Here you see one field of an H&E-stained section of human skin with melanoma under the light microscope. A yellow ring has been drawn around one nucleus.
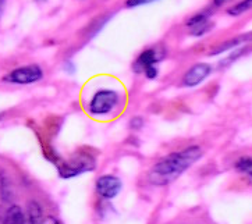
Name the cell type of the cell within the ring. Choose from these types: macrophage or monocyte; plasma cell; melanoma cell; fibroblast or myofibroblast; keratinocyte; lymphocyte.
lymphocyte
